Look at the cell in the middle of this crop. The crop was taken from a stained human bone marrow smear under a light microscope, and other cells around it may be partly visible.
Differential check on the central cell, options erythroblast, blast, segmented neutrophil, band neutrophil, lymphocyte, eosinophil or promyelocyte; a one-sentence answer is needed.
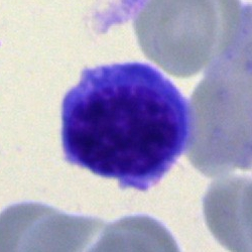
At the crop's centre, the cell is an erythroblast.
